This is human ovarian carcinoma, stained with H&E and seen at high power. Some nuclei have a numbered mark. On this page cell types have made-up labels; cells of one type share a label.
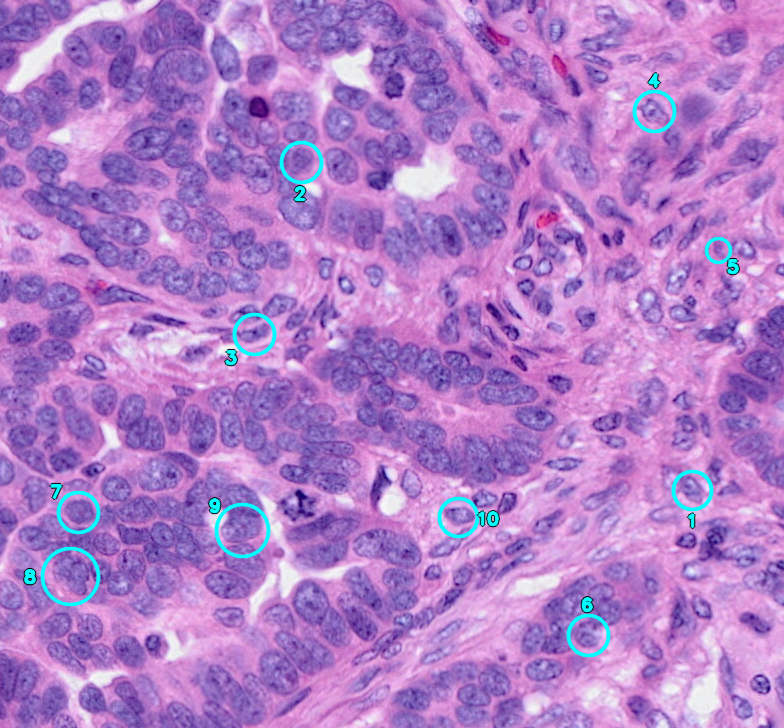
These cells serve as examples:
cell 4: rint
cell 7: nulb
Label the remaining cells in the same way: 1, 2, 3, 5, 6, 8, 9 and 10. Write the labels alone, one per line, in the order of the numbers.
rint
nulb
rint
rint
nulb
nulb
nulb
rint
